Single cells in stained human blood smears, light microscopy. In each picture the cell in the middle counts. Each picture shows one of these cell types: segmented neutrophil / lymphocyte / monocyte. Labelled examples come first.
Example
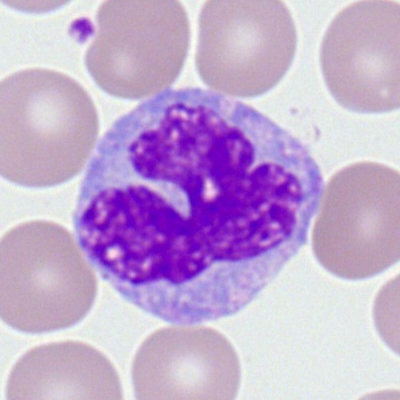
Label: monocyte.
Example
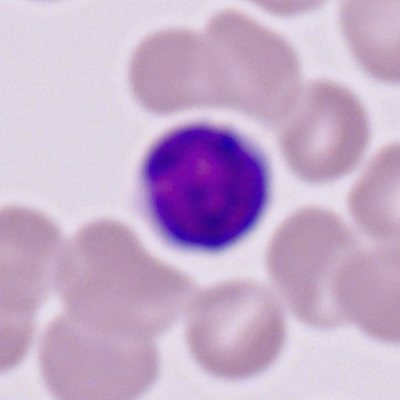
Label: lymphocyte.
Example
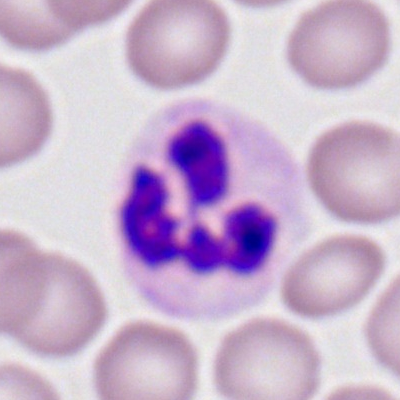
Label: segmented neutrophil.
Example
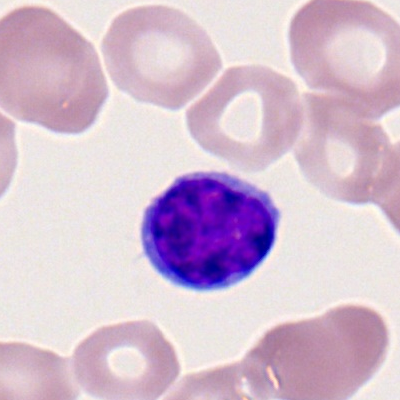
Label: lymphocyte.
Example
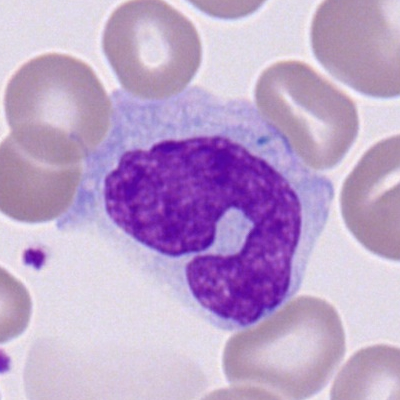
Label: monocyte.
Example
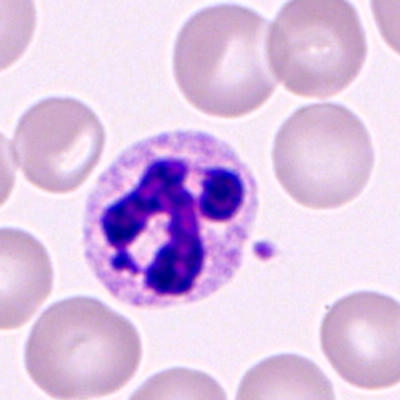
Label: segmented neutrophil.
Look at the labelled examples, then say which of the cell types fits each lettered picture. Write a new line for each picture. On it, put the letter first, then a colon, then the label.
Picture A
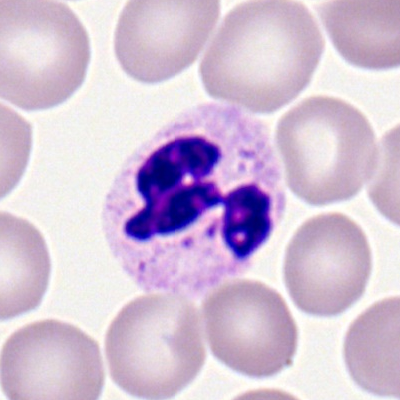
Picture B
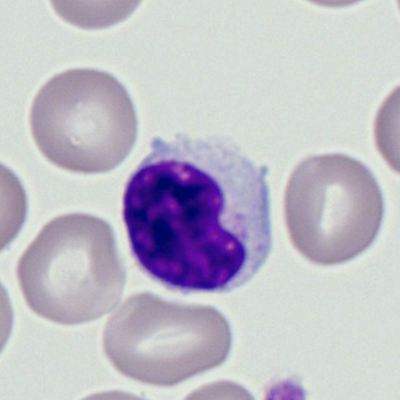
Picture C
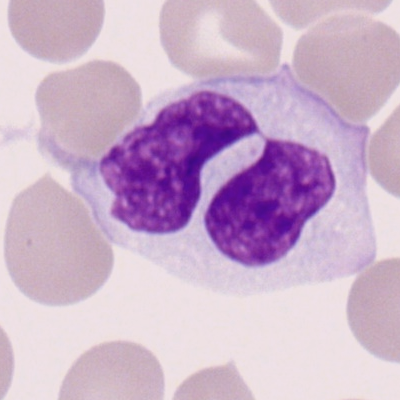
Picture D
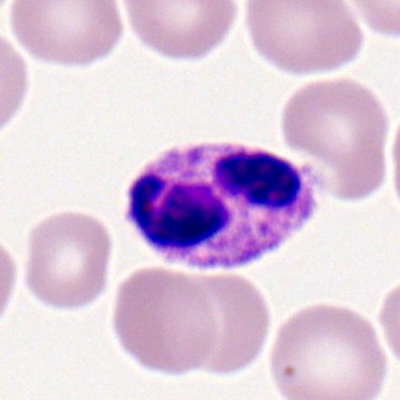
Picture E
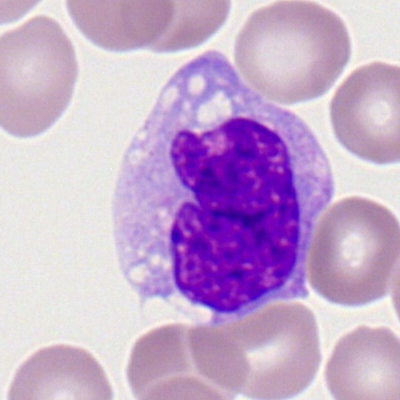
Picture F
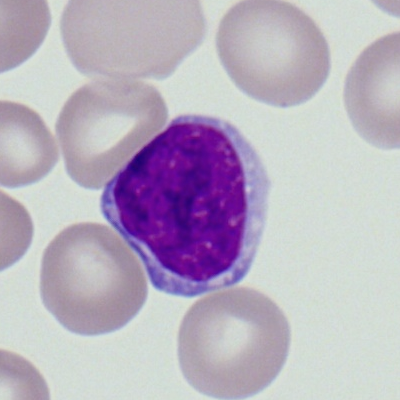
A: segmented neutrophil.
B: lymphocyte.
C: monocyte.
D: segmented neutrophil.
E: monocyte.
F: lymphocyte.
